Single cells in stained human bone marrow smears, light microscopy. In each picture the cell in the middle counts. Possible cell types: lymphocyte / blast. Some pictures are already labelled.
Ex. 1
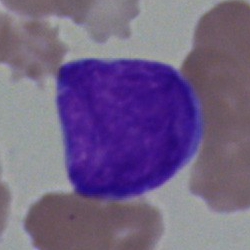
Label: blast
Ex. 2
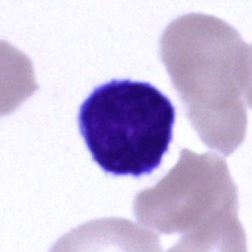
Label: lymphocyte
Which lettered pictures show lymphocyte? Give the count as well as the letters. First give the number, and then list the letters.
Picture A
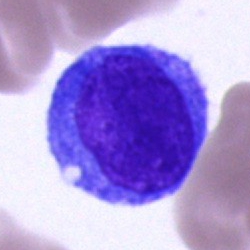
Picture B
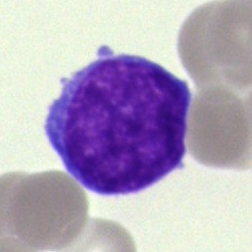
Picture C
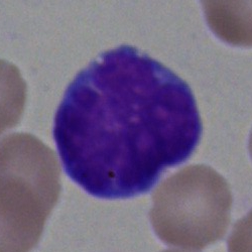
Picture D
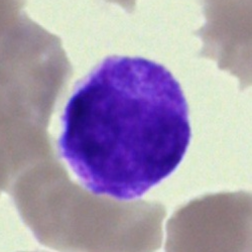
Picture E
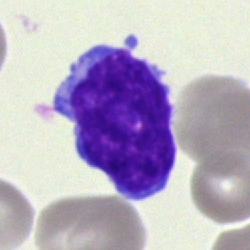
0, none of them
